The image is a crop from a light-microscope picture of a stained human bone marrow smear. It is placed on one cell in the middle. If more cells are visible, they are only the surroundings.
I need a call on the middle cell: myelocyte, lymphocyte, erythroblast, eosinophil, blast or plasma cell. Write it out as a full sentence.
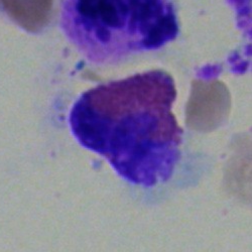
Whatever else lies nearby, the middle cell is an eosinophil.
